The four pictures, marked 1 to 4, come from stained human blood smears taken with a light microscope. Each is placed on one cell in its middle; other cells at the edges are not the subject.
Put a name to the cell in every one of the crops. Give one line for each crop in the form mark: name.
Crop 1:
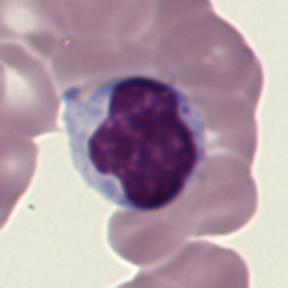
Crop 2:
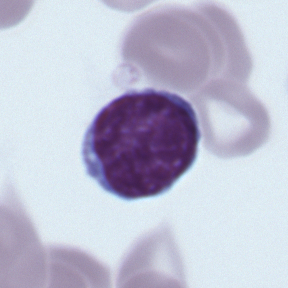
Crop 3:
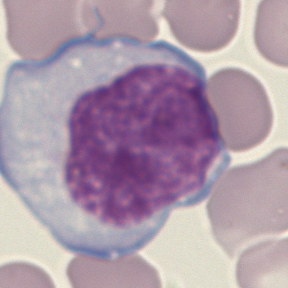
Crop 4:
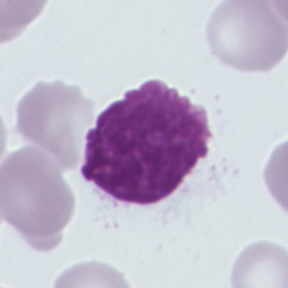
1: typical lymphocyte
2: typical lymphocyte
3: myeloblast
4: smudge cell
